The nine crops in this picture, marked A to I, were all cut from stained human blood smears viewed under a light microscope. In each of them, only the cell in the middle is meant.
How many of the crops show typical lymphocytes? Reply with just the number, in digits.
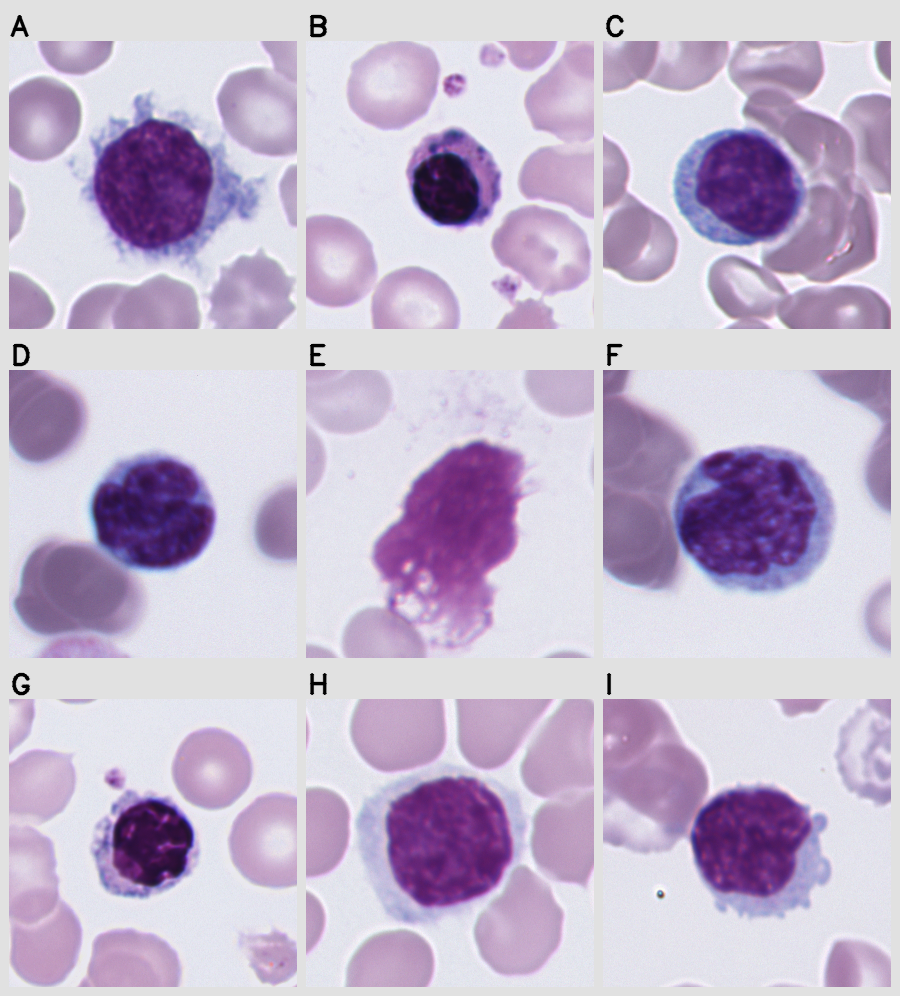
2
